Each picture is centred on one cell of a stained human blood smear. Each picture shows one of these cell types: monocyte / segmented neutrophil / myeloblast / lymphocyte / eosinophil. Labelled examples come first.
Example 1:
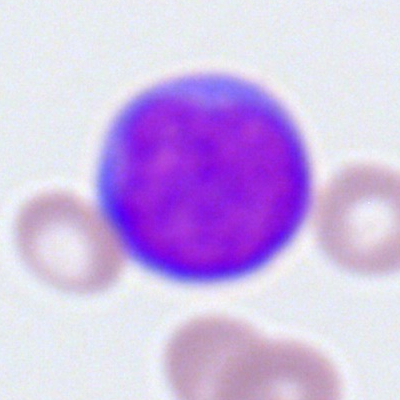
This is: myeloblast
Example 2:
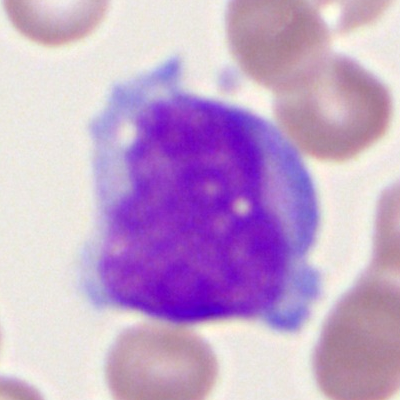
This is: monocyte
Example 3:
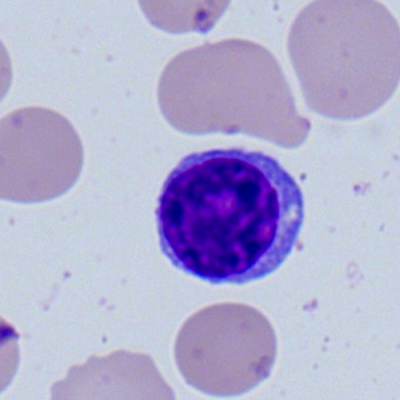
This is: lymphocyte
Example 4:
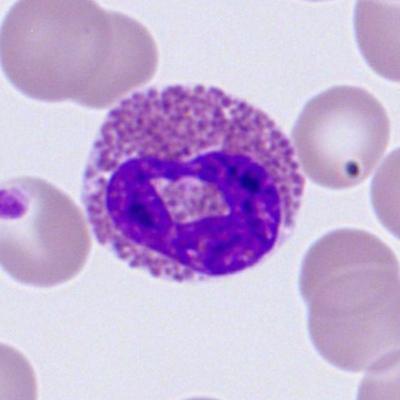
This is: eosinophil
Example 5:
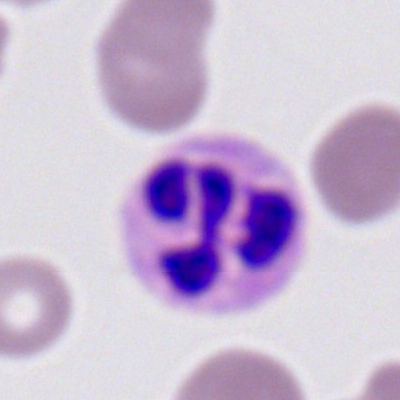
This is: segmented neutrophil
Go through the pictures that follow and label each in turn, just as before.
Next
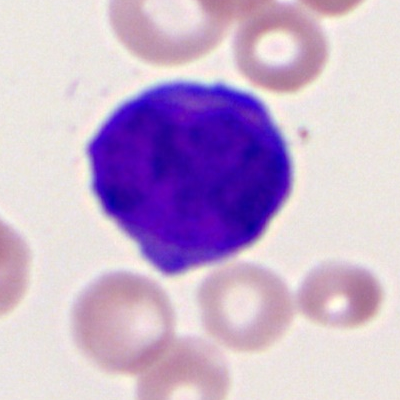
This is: myeloblast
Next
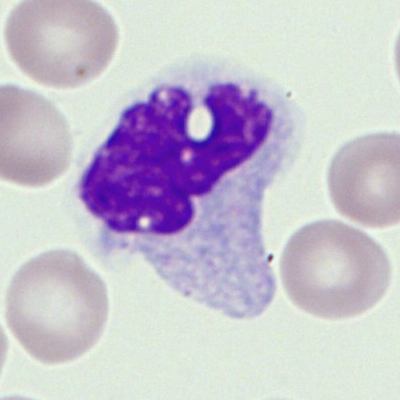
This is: monocyte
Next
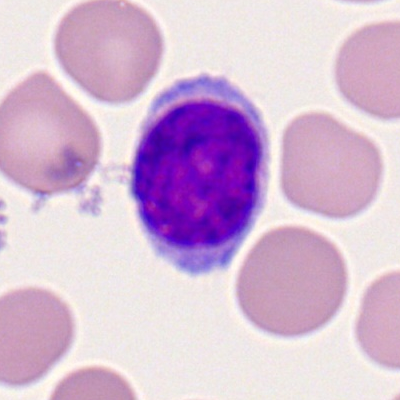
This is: lymphocyte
